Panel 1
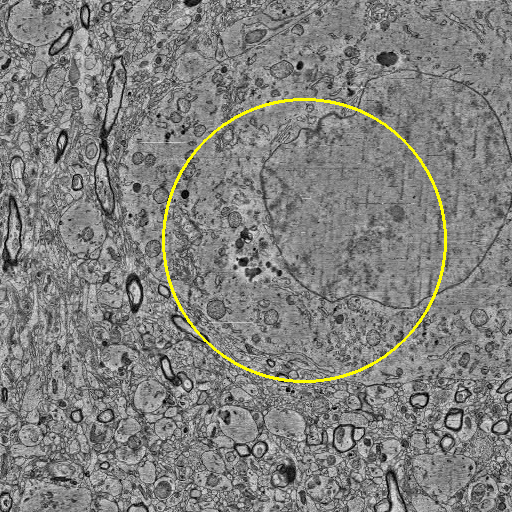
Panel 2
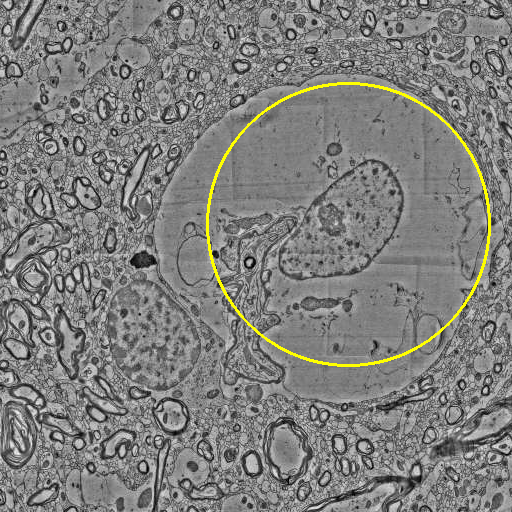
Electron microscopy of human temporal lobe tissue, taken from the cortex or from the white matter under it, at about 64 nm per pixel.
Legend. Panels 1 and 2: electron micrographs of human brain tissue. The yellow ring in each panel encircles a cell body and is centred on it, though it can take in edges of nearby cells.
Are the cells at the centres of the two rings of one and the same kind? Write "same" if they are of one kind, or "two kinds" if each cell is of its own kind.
two kinds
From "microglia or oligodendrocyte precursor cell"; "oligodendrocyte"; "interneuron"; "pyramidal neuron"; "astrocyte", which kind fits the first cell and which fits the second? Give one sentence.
The cell marked in the first picture is a pyramidal neuron, and the one marked in the second is an astrocyte.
